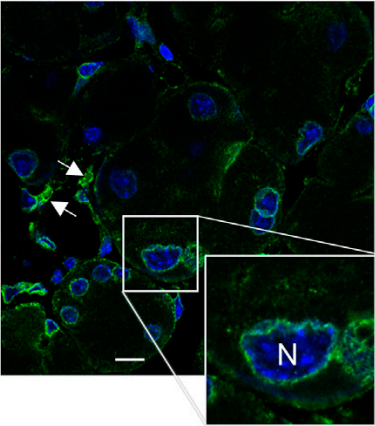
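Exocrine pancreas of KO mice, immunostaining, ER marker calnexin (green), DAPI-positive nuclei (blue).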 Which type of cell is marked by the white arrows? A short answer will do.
Interstitial cells.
